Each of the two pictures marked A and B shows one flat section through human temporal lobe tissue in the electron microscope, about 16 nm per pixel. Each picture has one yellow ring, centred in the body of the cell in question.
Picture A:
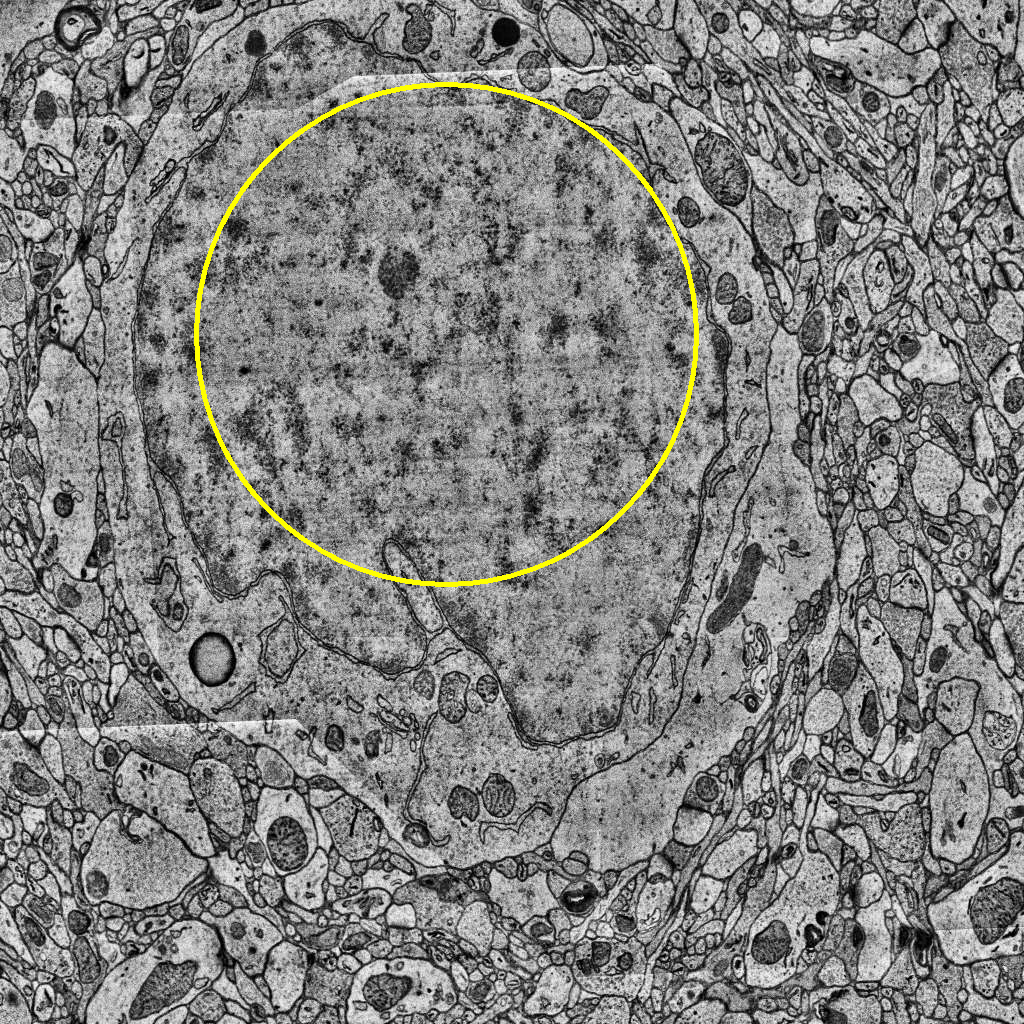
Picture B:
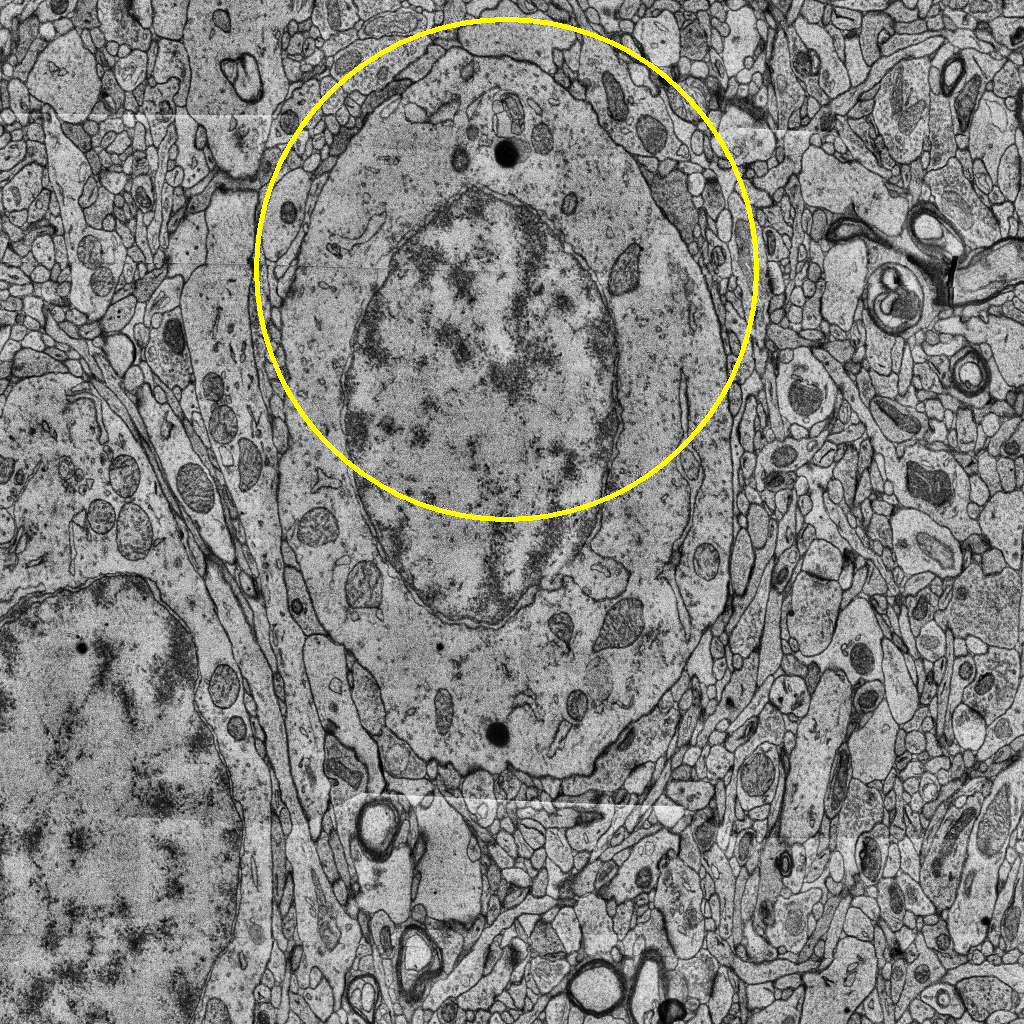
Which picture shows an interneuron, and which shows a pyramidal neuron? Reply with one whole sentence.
The cell in picture A is an interneuron, and the one in picture B is a pyramidal neuron.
